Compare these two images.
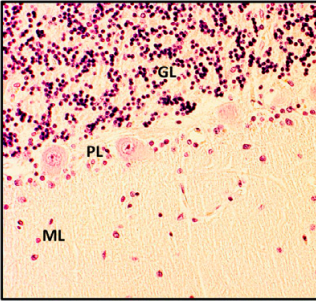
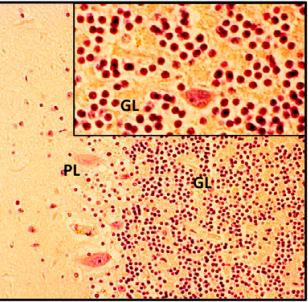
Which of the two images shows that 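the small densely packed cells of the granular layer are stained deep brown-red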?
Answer: the second image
